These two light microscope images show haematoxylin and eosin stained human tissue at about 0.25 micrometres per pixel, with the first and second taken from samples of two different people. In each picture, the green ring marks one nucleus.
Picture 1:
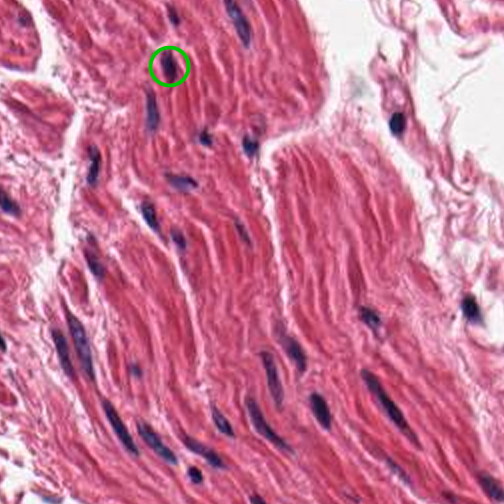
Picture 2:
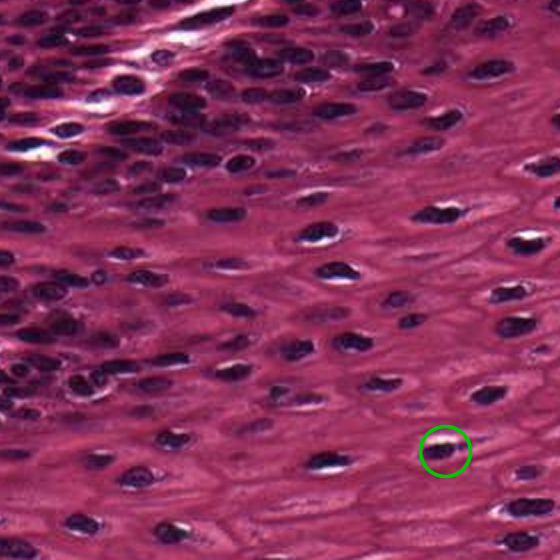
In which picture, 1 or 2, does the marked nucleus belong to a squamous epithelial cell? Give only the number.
2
